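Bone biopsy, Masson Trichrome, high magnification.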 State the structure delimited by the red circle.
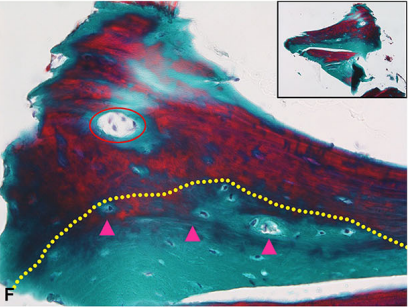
A vessel.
